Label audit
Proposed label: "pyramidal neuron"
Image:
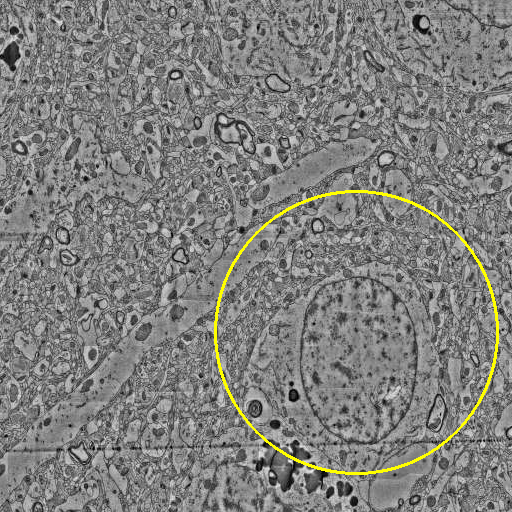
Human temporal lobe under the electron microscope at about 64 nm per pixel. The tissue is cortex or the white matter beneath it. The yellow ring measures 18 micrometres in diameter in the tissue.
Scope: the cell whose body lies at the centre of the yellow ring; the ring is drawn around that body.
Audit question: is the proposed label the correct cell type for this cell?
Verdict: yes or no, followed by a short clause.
Yes, the label fits this cell.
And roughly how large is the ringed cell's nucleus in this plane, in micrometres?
The ringed cell's nucleus measures approximately 11 by 8 micrometres in this plane.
